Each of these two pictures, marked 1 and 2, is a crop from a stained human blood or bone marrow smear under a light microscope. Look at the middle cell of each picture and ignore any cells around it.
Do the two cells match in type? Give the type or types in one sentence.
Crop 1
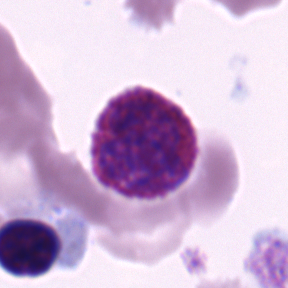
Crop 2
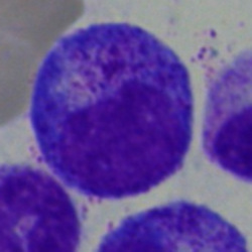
No, look again: crop 1 shows an eosinophil, and crop 2 shows a promyelocyte.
